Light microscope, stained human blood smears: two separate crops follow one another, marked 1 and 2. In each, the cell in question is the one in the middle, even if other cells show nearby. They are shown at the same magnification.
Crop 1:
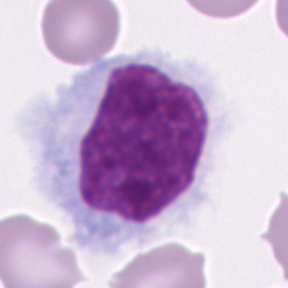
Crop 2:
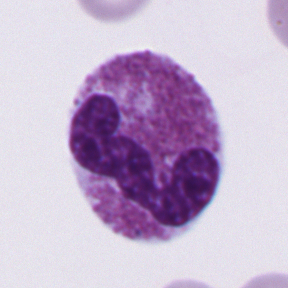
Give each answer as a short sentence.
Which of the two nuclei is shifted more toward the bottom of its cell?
Seen within its cell, the nucleus in crop 2 lies further toward the bottom.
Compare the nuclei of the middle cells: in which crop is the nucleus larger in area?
It is the nucleus in crop 1, about 1.5 times as large in area as the one in crop 2.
